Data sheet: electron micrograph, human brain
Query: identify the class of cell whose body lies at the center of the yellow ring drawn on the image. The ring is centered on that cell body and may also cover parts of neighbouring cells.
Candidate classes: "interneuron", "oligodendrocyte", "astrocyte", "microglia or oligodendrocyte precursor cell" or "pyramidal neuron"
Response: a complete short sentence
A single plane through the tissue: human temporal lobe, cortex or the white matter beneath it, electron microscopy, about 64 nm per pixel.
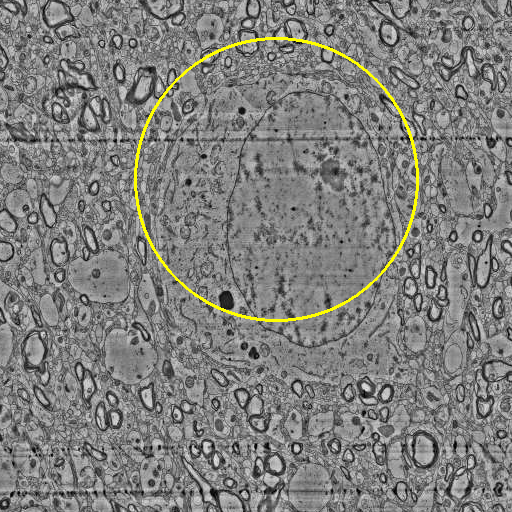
At the center of the ring lies a pyramidal neuron.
